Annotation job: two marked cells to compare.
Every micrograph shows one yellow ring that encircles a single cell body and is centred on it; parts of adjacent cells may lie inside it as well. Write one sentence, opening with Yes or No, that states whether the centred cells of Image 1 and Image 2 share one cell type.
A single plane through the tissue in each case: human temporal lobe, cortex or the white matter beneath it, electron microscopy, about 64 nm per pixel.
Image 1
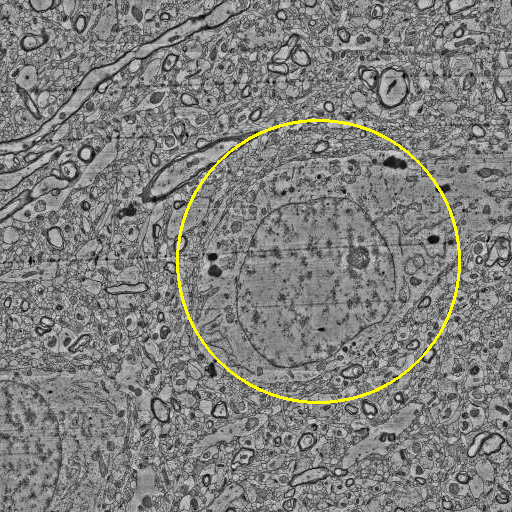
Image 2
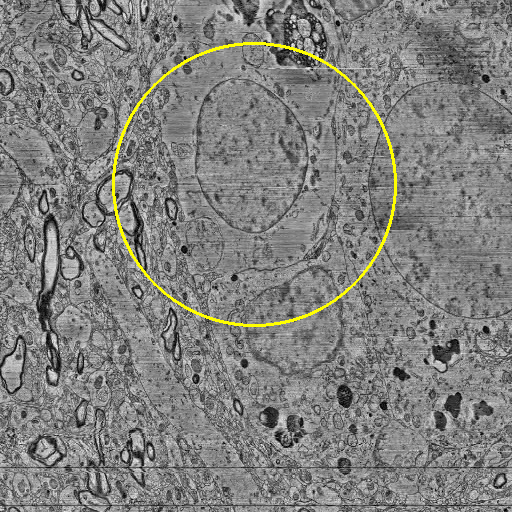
No, the cell centred in Image 1 and the cell centred in Image 2 are of two types.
